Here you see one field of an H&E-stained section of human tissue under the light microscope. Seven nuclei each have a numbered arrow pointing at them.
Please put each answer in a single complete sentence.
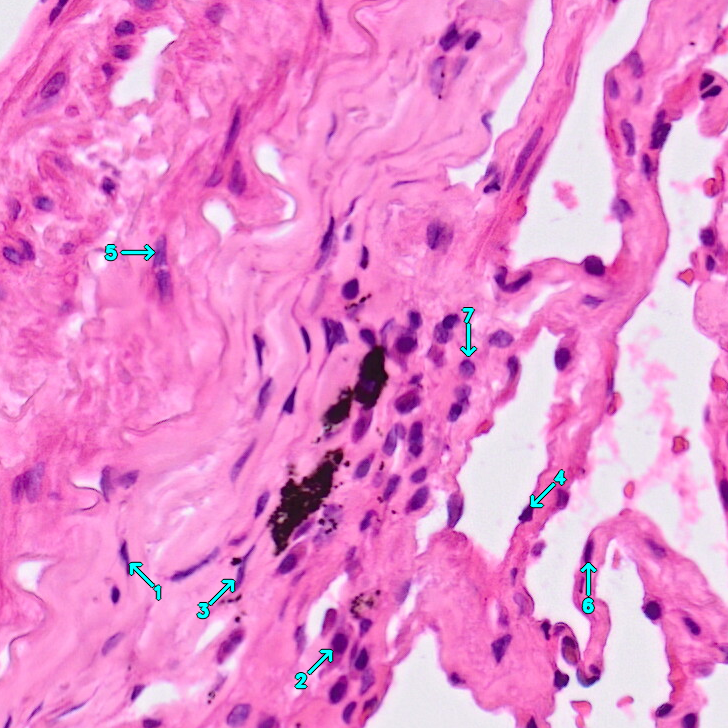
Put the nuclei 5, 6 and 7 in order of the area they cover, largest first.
From largest to smallest, the order is 5, 7, 6.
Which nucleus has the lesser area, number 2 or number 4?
Nucleus 4 covers less area, with nucleus 2 about 1.5 times as large.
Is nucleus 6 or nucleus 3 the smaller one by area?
It is nucleus 6; nucleus 3 has about 2 times its area.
